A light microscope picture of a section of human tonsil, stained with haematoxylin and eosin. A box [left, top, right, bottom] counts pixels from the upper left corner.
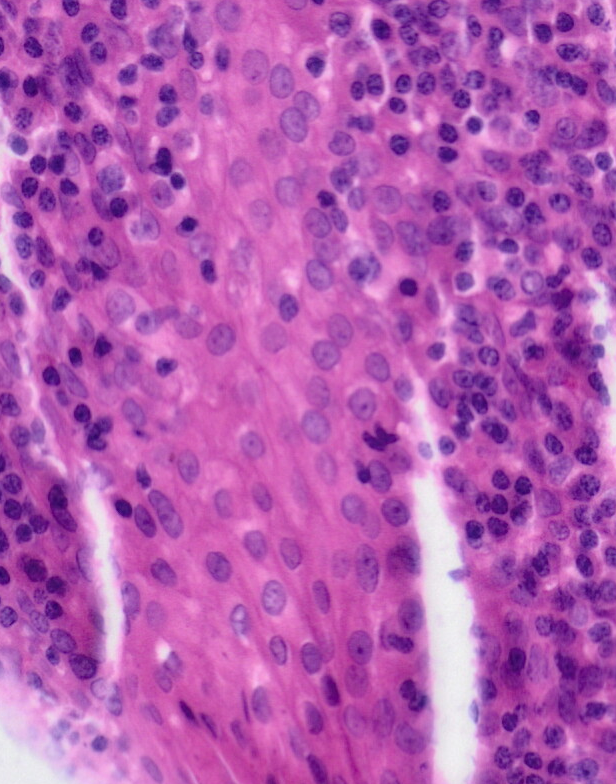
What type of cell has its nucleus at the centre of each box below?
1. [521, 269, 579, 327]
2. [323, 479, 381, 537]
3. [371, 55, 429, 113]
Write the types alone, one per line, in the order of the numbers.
squamous epithelial cell
squamous epithelial cell
plasma cell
